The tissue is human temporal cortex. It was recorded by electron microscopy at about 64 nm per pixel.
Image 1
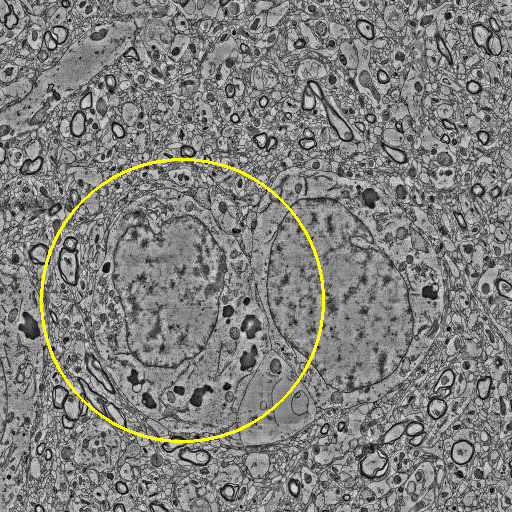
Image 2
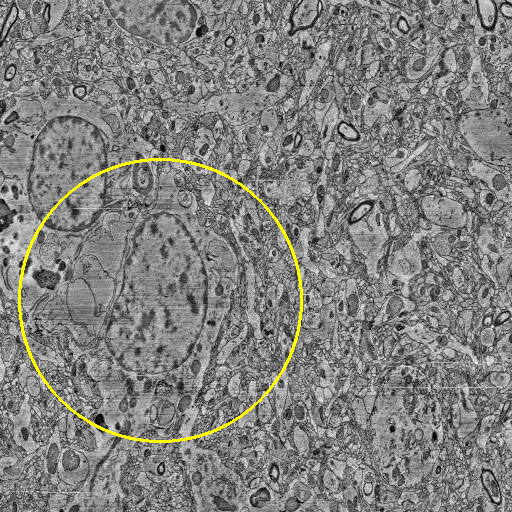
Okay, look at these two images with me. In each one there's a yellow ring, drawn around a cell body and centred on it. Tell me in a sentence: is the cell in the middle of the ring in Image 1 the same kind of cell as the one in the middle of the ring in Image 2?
No, they're two kinds of cell.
